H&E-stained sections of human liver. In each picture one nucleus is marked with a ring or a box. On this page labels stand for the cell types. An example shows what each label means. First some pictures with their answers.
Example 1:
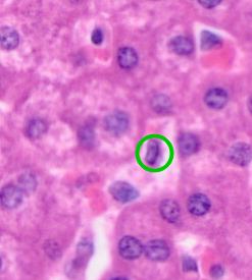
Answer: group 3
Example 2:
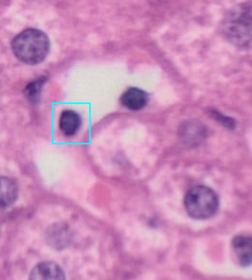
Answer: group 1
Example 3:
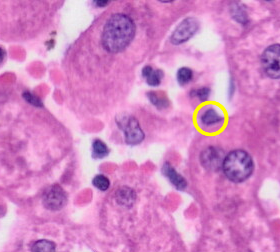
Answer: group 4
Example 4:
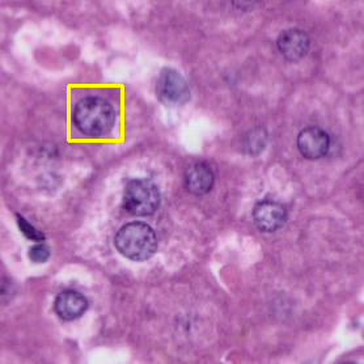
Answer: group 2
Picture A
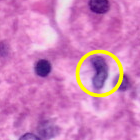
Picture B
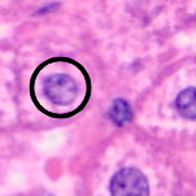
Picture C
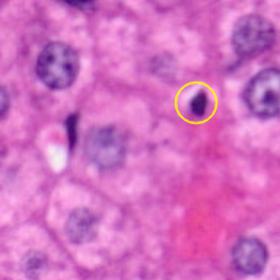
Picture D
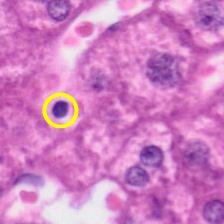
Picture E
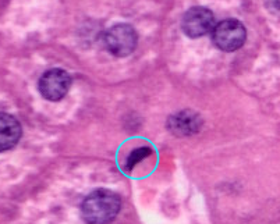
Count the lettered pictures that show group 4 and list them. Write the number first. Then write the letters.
1: E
